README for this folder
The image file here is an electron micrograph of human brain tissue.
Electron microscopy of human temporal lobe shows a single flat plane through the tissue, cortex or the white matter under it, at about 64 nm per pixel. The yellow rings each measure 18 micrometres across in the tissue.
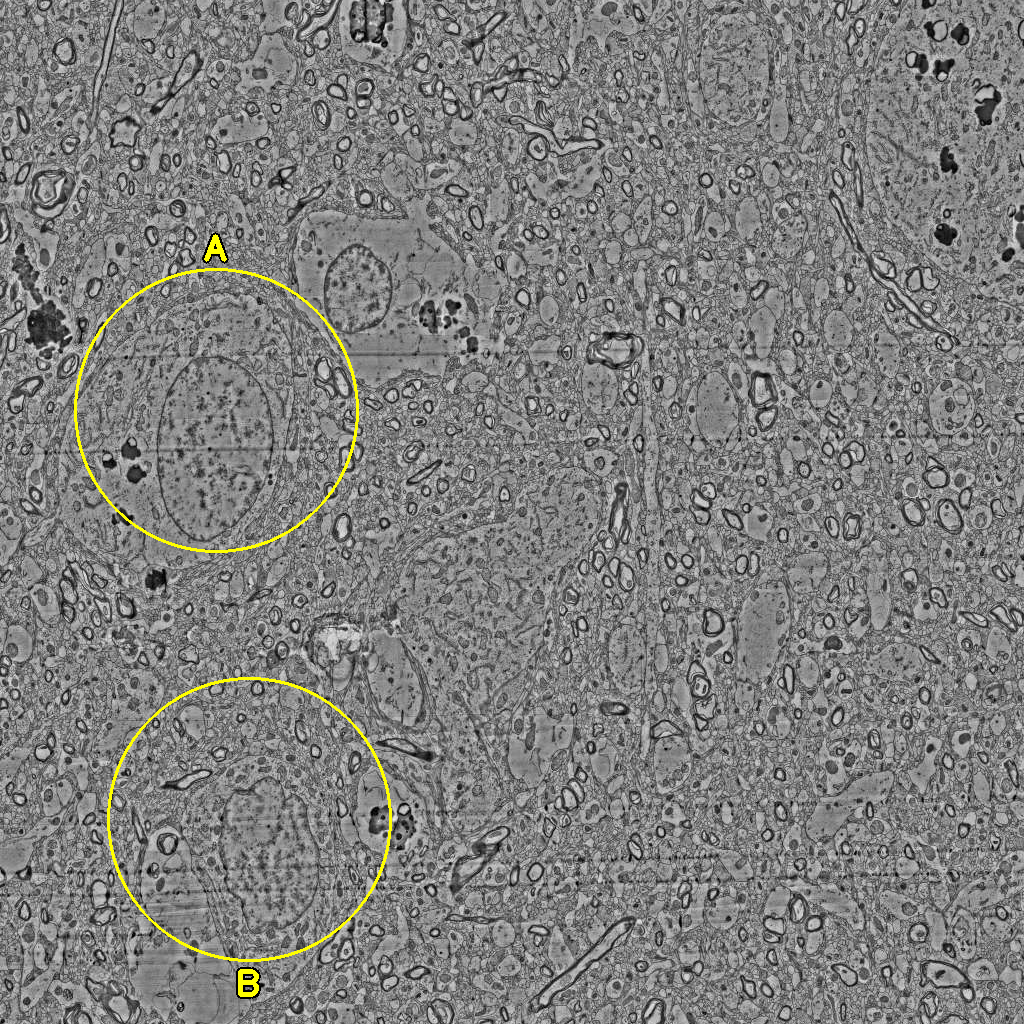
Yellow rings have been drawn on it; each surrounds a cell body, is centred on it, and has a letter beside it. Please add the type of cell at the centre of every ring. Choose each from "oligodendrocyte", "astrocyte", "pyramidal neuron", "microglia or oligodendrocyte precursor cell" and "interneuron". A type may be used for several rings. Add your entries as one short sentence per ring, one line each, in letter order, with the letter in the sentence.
Ring A marks the cell body of a pyramidal neuron.
Ring B marks the cell body of an interneuron.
